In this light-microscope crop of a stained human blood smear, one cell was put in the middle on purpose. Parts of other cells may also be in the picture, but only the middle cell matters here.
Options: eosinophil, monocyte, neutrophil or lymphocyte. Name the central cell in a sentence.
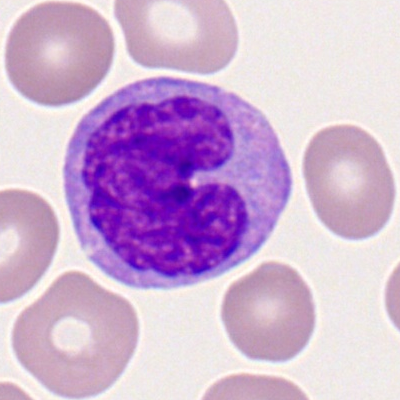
The target cell in the middle of the crop is a monocyte.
